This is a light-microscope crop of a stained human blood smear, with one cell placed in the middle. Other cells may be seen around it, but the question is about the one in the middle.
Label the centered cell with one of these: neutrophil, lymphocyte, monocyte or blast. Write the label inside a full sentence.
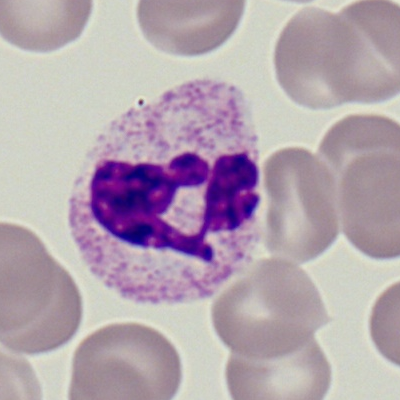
As for the central cell, it is a neutrophil.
